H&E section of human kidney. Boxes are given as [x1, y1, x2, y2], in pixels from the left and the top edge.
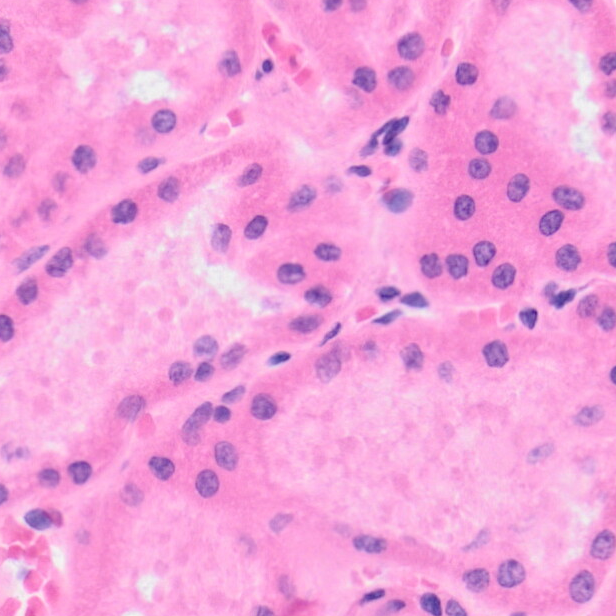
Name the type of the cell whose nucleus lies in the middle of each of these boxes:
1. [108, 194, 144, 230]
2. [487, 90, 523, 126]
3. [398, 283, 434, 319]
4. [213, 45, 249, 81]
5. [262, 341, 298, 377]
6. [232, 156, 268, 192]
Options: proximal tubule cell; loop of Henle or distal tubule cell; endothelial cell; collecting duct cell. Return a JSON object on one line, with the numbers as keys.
{"1": "proximal tubule cell", "2": "proximal tubule cell", "3": "endothelial cell", "4": "proximal tubule cell", "5": "endothelial cell", "6": "proximal tubule cell"}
